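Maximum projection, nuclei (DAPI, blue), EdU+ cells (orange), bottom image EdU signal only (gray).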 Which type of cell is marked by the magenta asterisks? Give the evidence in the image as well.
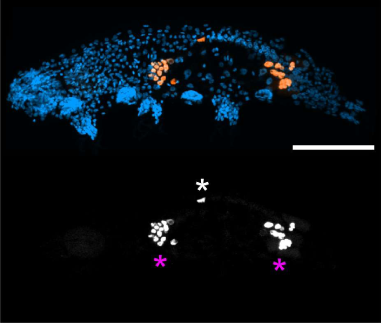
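Gut cells. Two compact clusters of labelled nuclei lie along the body axis, one toward the front and one toward the rear. Few other nuclei in the body are labelled.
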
